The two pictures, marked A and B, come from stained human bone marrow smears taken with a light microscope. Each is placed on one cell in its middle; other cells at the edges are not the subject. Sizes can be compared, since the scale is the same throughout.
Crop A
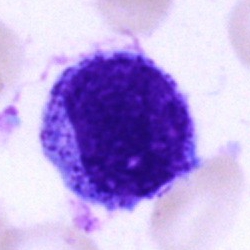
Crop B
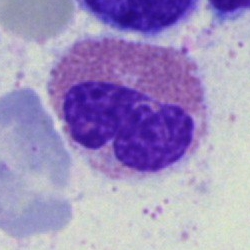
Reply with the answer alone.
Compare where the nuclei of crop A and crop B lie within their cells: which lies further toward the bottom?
B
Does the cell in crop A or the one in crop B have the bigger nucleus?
A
